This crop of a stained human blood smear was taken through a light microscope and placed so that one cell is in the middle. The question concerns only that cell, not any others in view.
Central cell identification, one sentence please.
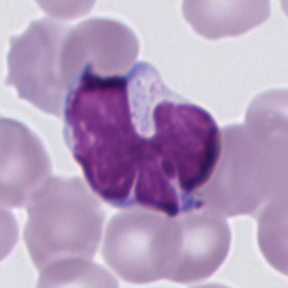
The central cell in this smear crop is a large granular lymphocyte.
